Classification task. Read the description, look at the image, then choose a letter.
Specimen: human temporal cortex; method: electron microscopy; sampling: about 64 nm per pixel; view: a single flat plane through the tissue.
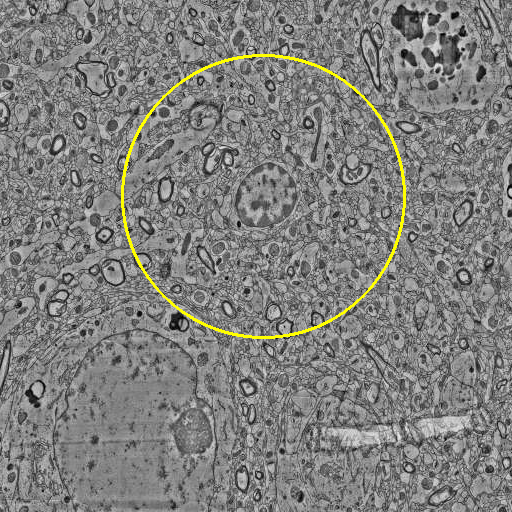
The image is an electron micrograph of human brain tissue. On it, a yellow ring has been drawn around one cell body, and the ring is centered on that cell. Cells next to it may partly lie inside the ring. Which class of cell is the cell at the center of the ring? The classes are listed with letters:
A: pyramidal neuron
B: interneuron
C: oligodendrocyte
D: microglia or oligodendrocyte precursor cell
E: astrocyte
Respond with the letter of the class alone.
D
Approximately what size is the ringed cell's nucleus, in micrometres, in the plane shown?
Roughly 4 micrometres across for the nucleus, in this plane.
